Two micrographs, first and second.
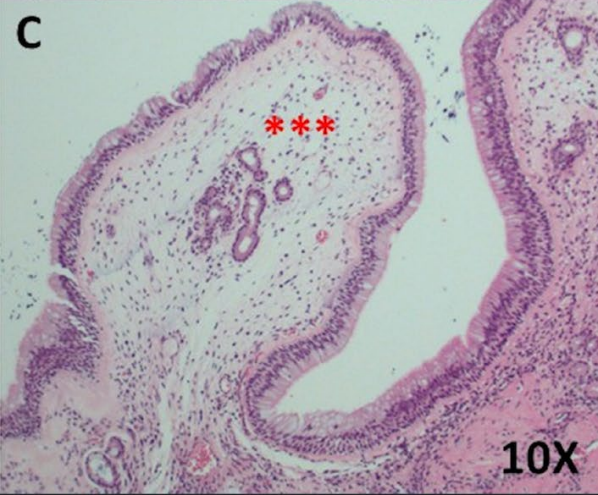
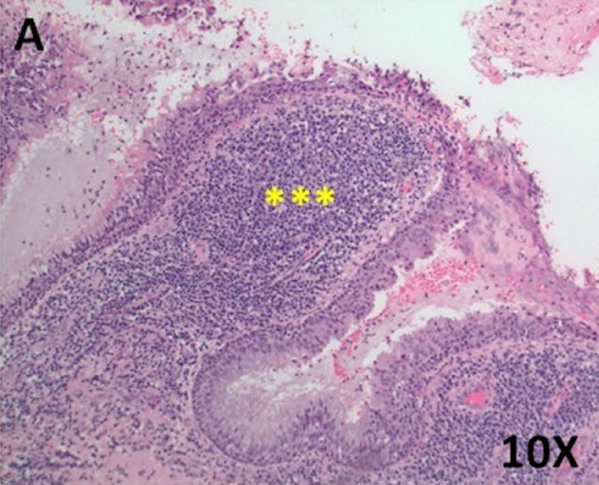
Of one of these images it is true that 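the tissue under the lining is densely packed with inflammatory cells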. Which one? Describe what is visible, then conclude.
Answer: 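First image: the core of the protrusion is pale and loose with sparse nuclei. Second image: the tissue under the lining is crowded with small dark nuclei.
Answer: the second image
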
